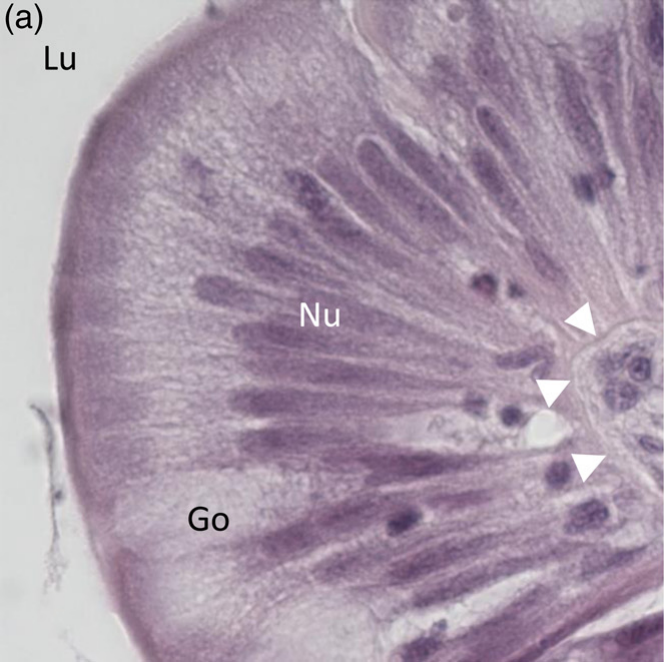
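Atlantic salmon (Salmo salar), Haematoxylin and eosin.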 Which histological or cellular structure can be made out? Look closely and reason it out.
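A rounded projection is covered by tall columnar epithelium. The columnar cells radiate outward from a central core toward the lumen. The answer: tip of mucosal fold.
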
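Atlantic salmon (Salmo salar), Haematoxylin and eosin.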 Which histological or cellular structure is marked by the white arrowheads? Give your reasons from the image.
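The arrowheads point to a thin line at the base of the epithelium. The line separates the columnar epithelial cells from the underlying connective tissue core. That points to this answer: basal lamina.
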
